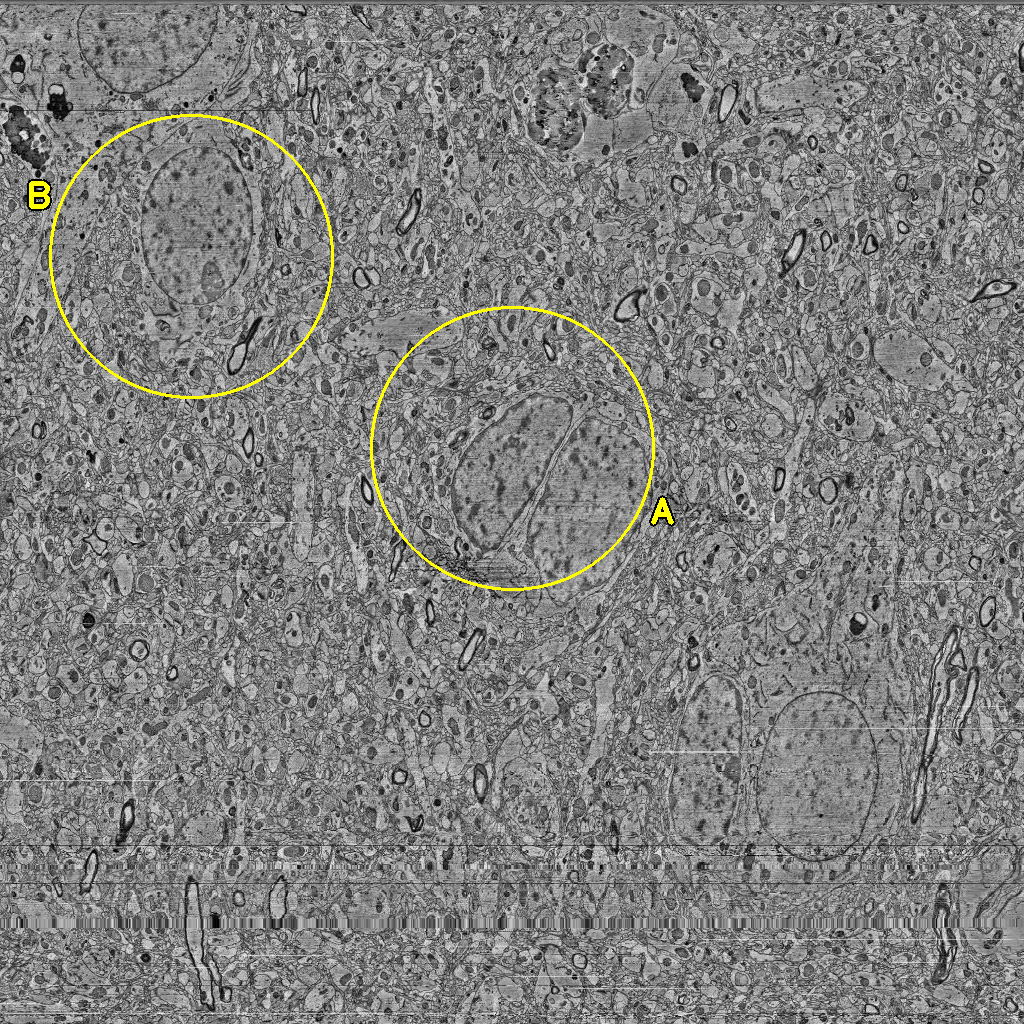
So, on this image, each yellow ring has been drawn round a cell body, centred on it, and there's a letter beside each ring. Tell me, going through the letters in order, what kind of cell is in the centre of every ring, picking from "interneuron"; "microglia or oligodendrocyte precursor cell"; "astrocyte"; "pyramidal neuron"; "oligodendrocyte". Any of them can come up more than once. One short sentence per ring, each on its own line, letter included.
Ring A has been drawn round a microglial cell or oligodendrocyte precursor cell.
Ring B has been drawn round an astrocyte.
